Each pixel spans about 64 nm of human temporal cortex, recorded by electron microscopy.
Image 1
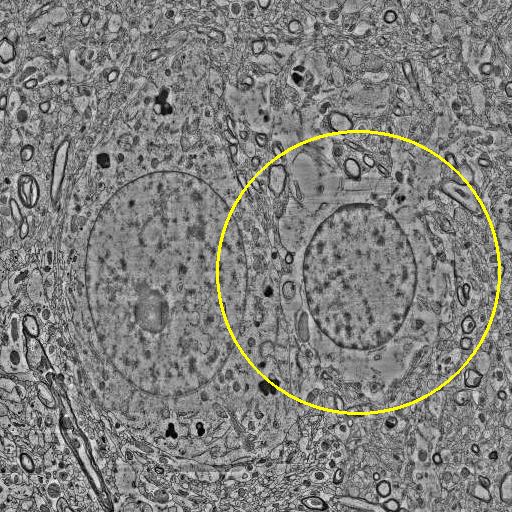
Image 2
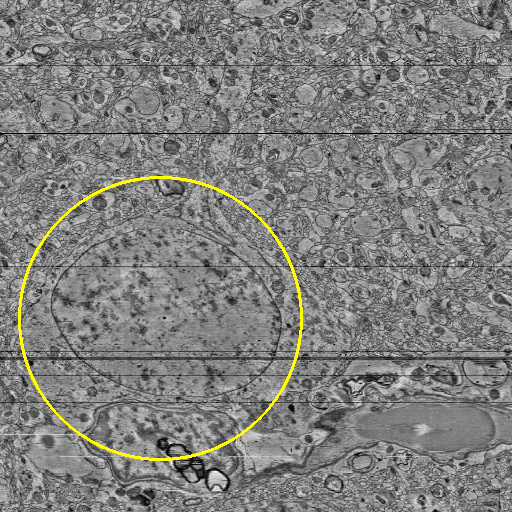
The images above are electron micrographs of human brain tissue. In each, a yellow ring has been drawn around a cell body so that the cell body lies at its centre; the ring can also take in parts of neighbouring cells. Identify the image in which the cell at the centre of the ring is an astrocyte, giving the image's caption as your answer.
Image 1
